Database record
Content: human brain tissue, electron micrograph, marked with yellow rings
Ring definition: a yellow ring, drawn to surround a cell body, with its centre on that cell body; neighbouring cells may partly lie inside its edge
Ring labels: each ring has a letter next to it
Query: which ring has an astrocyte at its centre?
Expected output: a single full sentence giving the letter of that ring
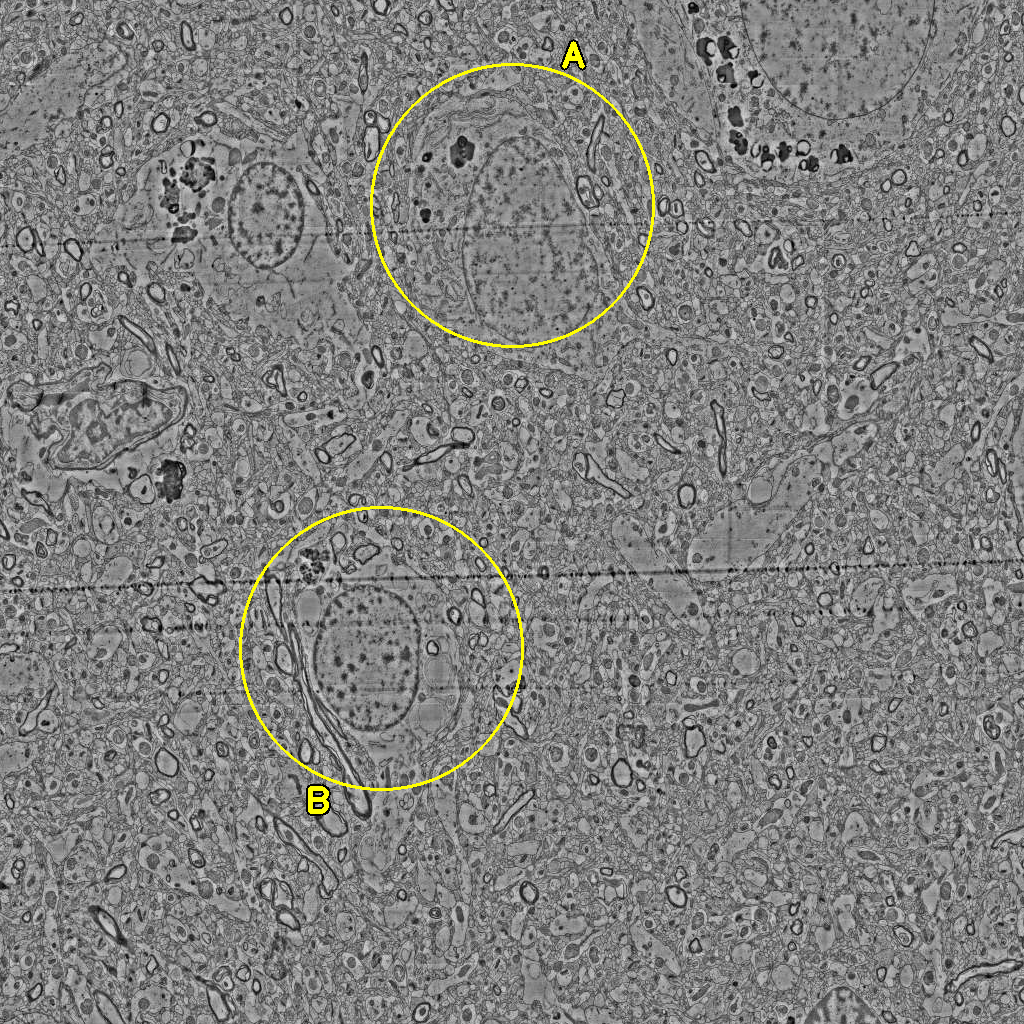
In the picture, the cell being queried lies at the centre of ring B.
